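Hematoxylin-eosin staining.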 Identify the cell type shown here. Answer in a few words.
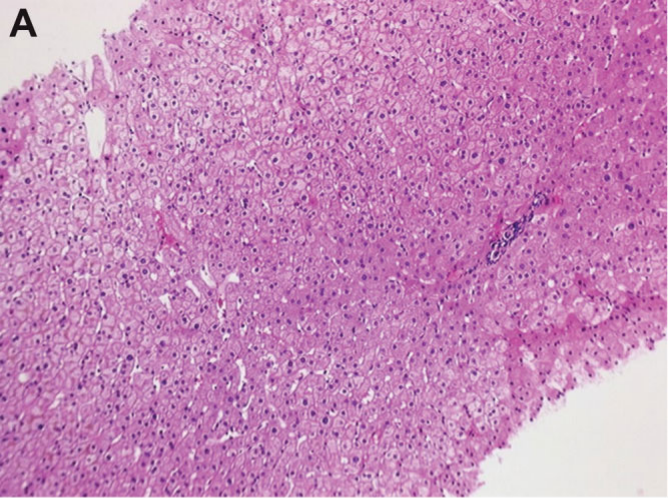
Hepatocytes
